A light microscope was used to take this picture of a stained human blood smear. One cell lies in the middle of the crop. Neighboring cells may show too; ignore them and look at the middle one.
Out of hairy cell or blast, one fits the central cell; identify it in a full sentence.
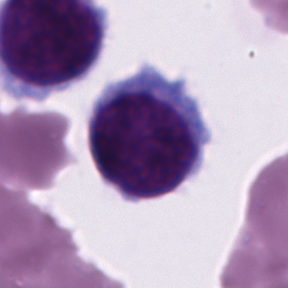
The cell at the heart of this crop is a hairy cell.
